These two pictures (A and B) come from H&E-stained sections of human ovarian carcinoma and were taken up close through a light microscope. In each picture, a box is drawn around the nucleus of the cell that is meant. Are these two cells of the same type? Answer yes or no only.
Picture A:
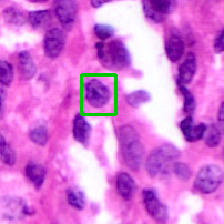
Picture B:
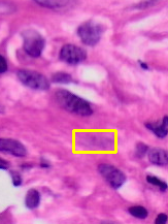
no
